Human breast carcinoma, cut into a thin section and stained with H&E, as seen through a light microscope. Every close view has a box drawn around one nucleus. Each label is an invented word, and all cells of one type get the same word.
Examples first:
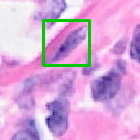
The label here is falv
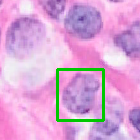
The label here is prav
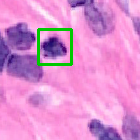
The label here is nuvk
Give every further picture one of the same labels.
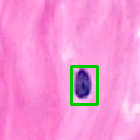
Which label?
nuvk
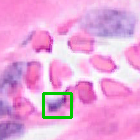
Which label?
falv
